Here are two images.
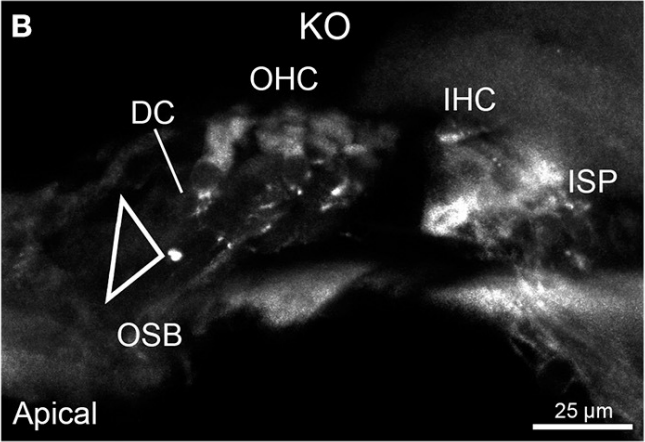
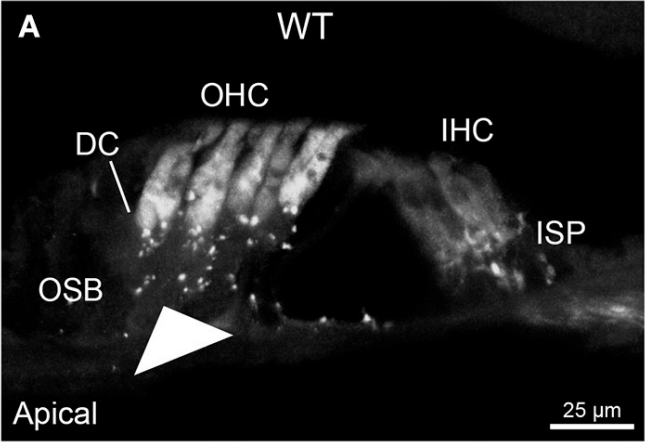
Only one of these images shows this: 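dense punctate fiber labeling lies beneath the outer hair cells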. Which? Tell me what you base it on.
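The second image. First image: only a few scattered bright dots, one isolated bright spot beside the open arrowhead. Second image: many bright puncta and beaded strands below and between the outer hair cells.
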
